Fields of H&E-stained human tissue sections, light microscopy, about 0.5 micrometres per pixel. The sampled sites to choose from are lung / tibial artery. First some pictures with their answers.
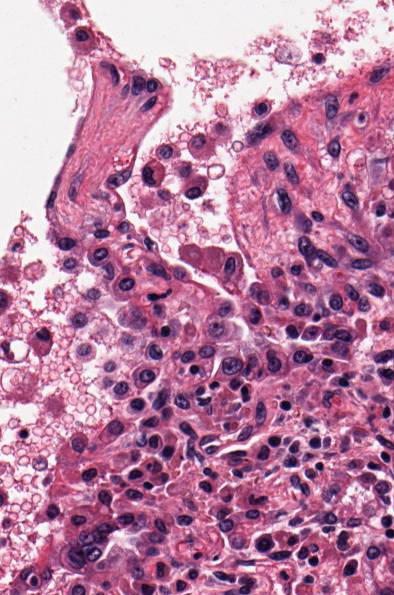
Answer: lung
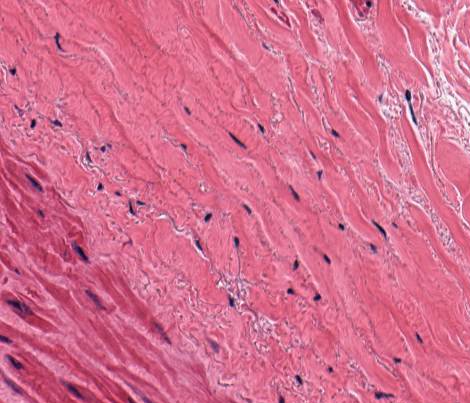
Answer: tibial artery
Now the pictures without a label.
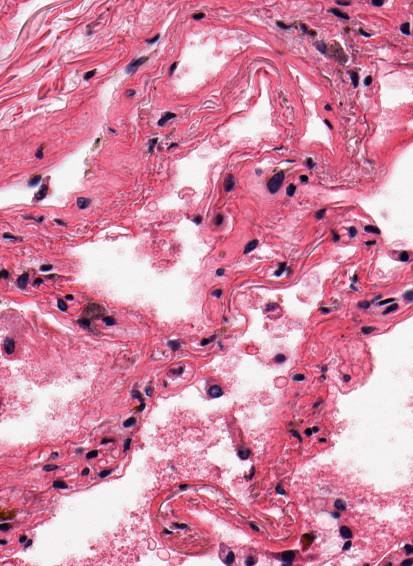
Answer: lung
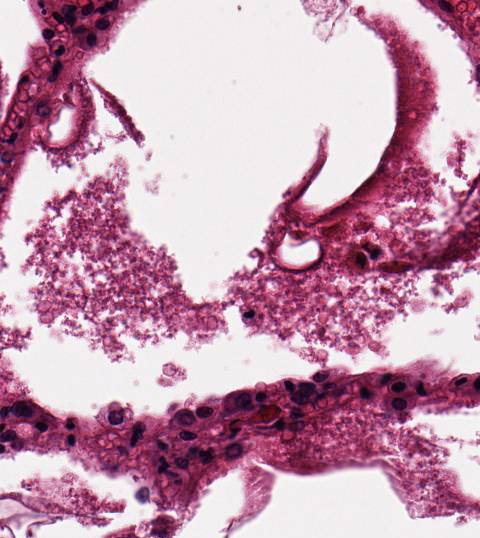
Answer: lung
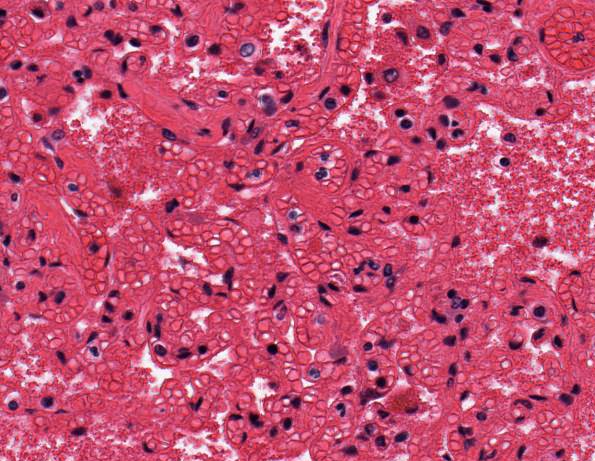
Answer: lung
